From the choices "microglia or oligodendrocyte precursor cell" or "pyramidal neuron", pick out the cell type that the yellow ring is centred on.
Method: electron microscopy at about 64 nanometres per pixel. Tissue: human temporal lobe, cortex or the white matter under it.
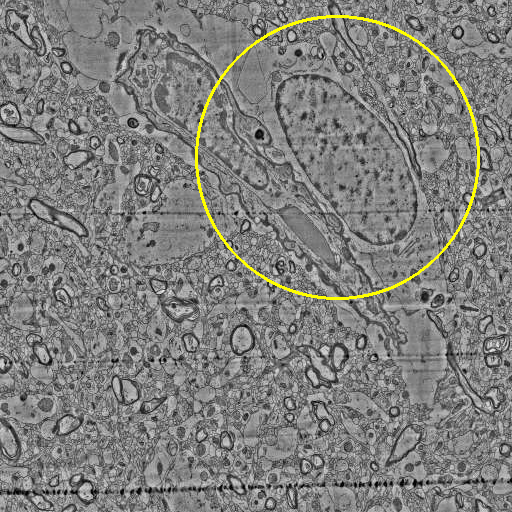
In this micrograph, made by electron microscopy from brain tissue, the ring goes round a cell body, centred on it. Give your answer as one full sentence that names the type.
The yellow ring is centred on a microglial cell or oligodendrocyte precursor cell, whose cell body it encircles in the picture.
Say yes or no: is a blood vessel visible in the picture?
Yes, there is a blood vessel.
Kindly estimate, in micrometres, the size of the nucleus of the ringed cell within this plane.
About 12 by 6 micrometers in this plane, so the nucleus is clearly longer than it is wide.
